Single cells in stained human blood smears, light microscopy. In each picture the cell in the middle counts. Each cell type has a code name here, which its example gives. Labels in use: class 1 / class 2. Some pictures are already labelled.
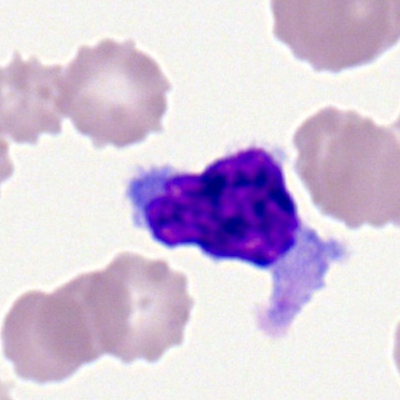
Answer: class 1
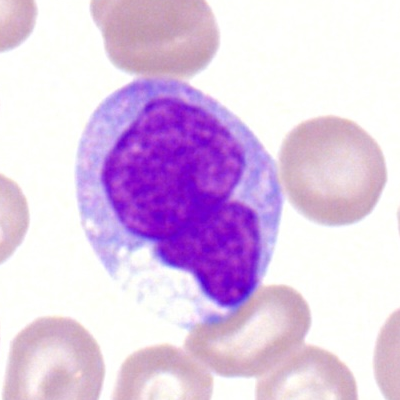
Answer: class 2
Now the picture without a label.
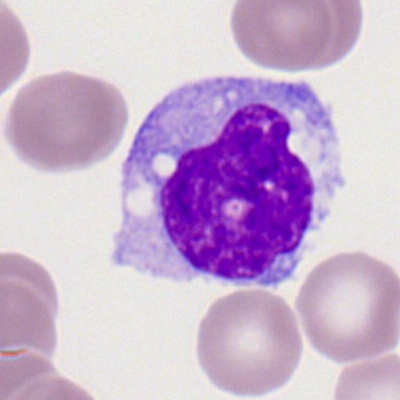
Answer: class 2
